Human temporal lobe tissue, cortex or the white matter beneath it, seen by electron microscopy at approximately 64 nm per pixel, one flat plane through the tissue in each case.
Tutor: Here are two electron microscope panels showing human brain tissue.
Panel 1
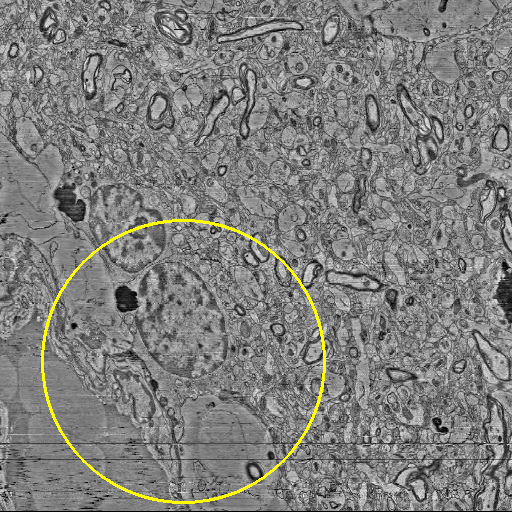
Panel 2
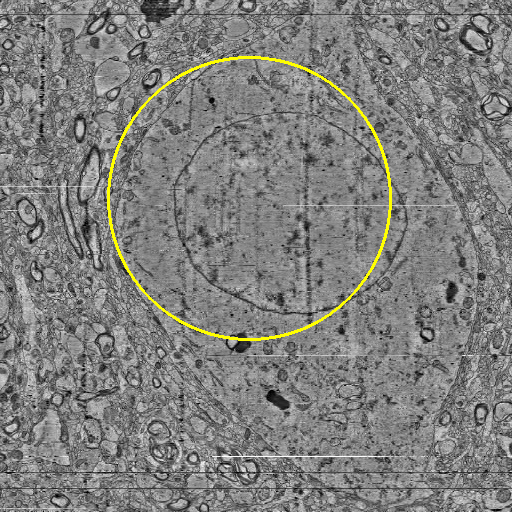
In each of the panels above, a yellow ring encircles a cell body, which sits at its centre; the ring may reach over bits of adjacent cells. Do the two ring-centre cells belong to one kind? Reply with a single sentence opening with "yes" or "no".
No, the two cells sitting at the ring centres in the panels belong to two kinds.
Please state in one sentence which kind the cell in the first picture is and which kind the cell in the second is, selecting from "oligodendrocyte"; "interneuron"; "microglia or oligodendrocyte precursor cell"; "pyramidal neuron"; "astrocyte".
The first ringed cell is an oligodendrocyte, the second ringed cell a pyramidal neuron.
